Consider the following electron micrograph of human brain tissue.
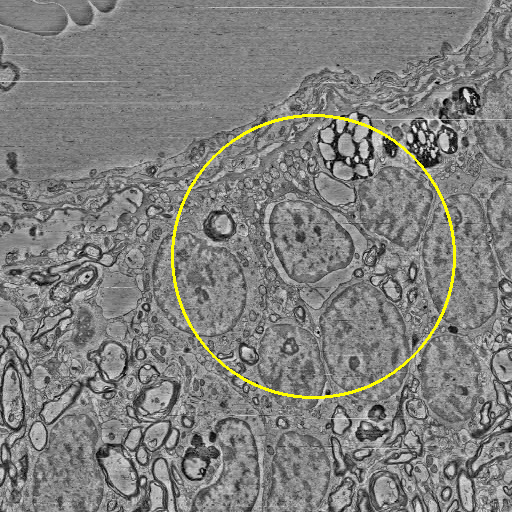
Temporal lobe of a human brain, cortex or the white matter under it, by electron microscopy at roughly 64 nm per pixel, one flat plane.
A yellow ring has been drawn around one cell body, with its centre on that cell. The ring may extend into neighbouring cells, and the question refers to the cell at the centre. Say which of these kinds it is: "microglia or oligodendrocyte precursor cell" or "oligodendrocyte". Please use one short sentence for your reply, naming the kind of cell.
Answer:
The centre of the ring falls on a microglial cell or oligodendrocyte precursor cell.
